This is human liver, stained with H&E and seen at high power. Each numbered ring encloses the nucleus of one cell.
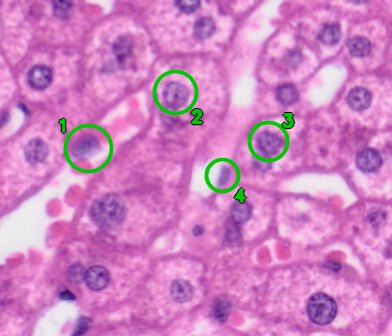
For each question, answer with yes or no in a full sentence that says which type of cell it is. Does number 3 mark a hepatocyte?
Yes, the cell identified as number 3 is a hepatocyte.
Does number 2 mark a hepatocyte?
Yes, that one, number 2, is a hepatocyte.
